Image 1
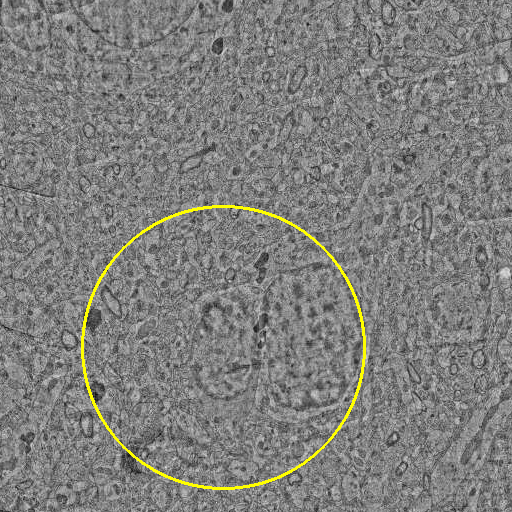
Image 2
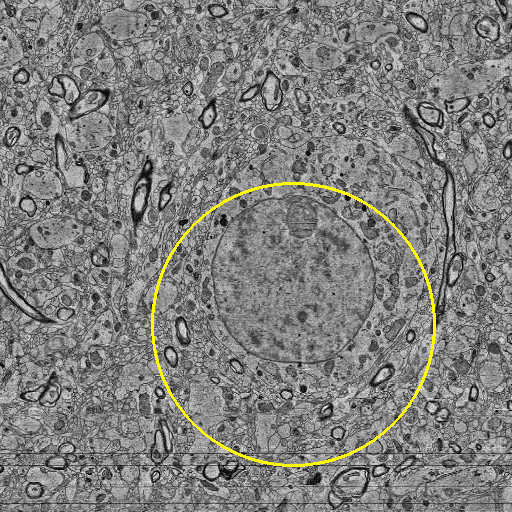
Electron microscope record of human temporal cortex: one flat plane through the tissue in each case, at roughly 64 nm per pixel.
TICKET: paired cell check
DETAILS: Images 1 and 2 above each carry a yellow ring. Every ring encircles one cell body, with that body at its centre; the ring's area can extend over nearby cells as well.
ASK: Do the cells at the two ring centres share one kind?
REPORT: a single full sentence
No, the ring-centre cells of Images 1 and 2 belong to two kinds.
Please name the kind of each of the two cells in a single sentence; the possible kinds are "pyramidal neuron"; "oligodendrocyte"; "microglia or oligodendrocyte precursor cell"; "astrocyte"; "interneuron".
In the first picture the ring is centred on an oligodendrocyte, and in the second on an interneuron.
